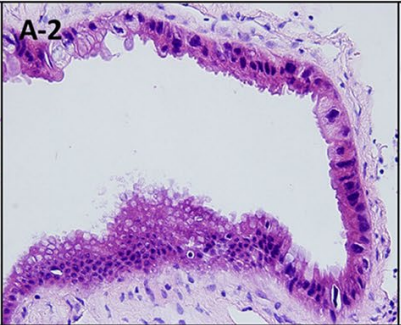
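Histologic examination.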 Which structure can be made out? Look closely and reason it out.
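Fibrocystic wall-like tissue. An epithelium lines an empty lumen. A thin layer of loose fibrous stroma lies beneath the lining.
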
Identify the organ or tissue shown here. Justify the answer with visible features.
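Columnar epithelium. Tall cells line the surface of a cavity. The cells are taller than wide, with elongated nuclei.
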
